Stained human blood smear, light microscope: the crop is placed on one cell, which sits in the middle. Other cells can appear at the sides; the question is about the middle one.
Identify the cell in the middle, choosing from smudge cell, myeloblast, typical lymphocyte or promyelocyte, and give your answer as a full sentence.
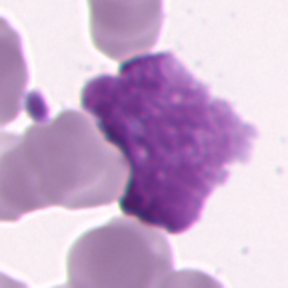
The middle of this crop is occupied by a smudge cell.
